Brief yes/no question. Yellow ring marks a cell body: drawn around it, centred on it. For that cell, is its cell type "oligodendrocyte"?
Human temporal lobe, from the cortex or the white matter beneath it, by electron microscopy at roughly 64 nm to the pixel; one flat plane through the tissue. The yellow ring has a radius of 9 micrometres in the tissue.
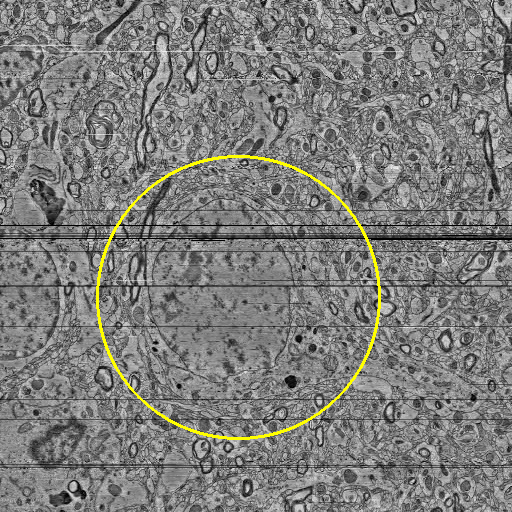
No, the cell type is another.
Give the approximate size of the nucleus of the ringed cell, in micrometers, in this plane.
The nucleus is about 10 micrometres across in this plane.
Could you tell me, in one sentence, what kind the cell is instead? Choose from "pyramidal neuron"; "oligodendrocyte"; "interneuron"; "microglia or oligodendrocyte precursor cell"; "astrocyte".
Instead, the cell at the centre of the yellow ring is a pyramidal neuron.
